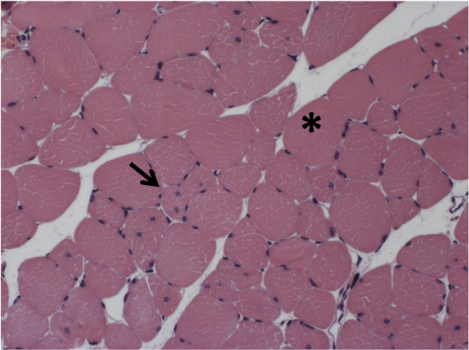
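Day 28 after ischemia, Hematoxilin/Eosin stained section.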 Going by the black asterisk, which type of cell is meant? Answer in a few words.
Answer: healthy myofibers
